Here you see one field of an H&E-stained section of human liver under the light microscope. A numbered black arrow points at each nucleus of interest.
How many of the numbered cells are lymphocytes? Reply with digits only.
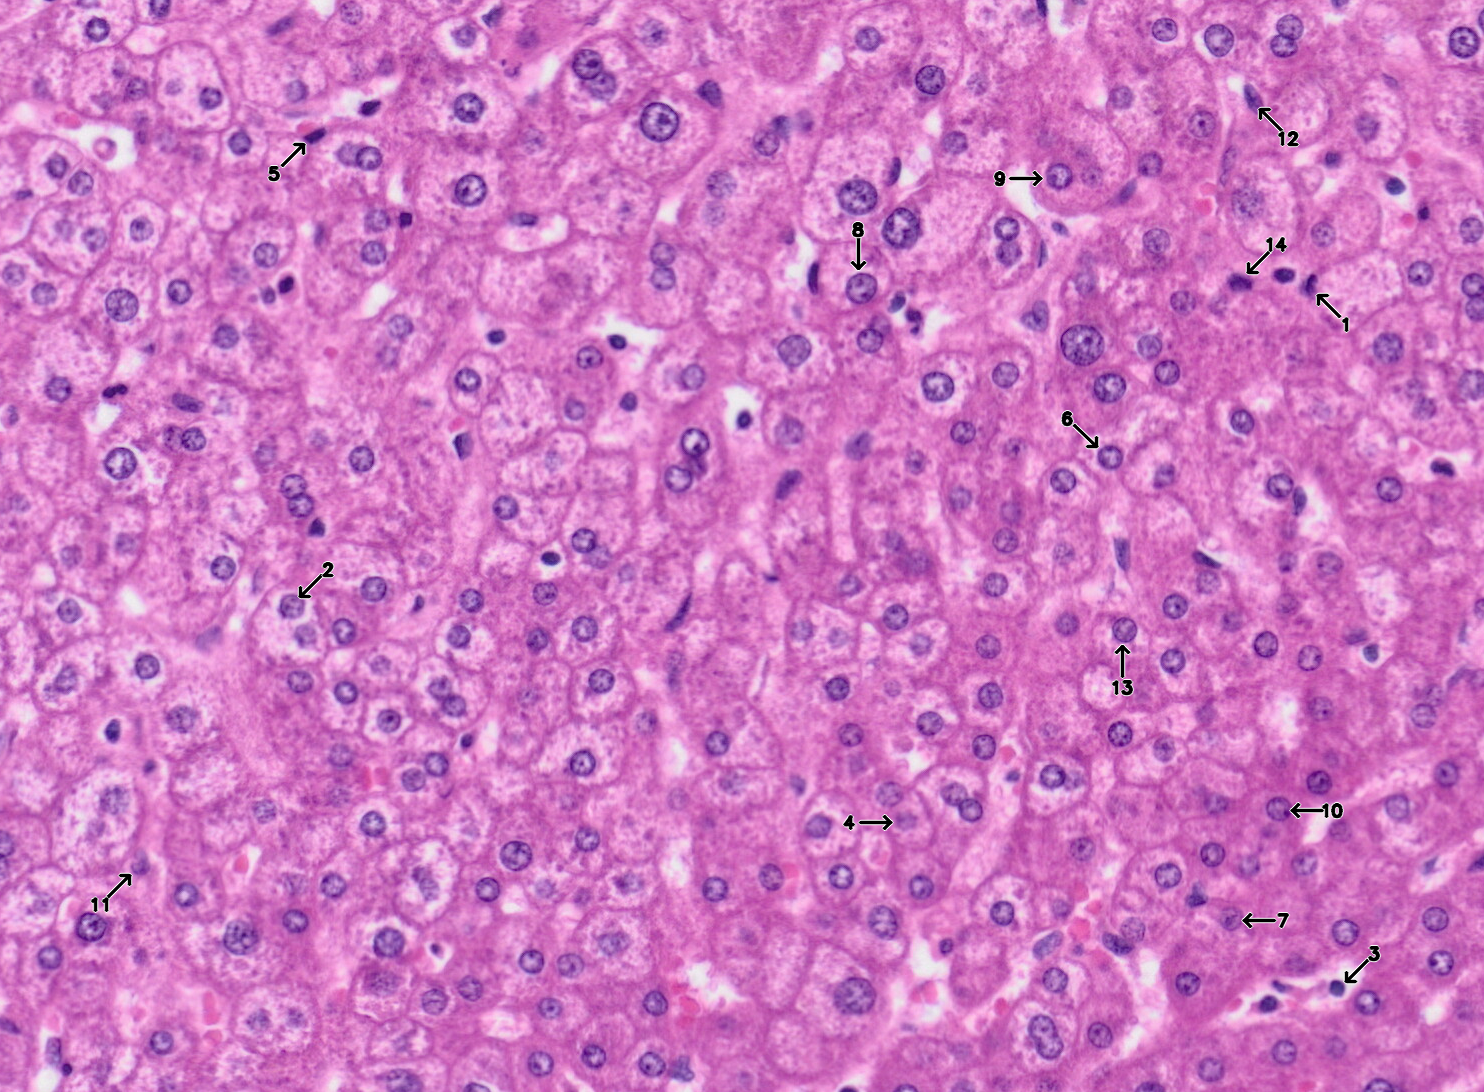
1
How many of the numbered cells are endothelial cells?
2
